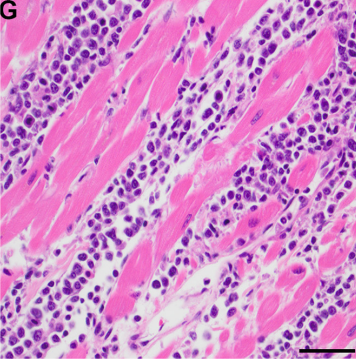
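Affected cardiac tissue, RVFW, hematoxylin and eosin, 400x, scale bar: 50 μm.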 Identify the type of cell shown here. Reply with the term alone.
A: Large pleomorphic lymphocytes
